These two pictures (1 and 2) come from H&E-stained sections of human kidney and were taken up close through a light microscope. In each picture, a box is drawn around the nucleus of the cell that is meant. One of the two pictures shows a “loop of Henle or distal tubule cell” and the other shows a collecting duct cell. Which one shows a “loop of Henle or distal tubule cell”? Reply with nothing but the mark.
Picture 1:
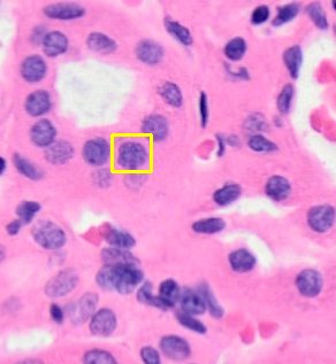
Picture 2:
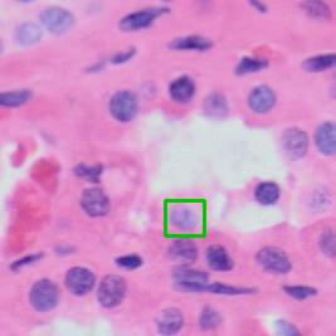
2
